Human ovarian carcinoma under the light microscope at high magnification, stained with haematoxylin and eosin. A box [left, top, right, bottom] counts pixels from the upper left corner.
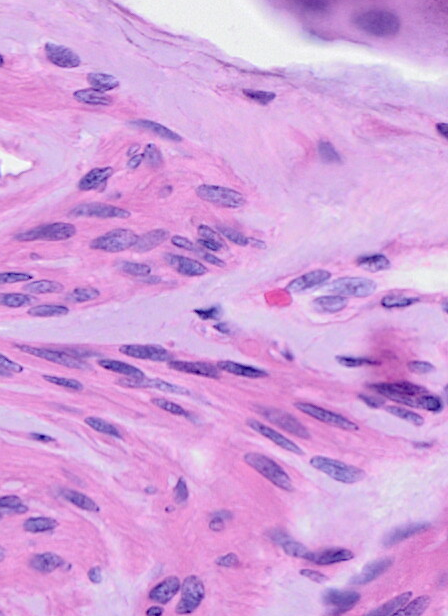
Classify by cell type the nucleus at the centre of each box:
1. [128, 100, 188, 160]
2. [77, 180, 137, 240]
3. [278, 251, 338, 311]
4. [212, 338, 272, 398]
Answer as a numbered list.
1. smooth muscle cell
2. smooth muscle cell
3. endothelial cell
4. smooth muscle cell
